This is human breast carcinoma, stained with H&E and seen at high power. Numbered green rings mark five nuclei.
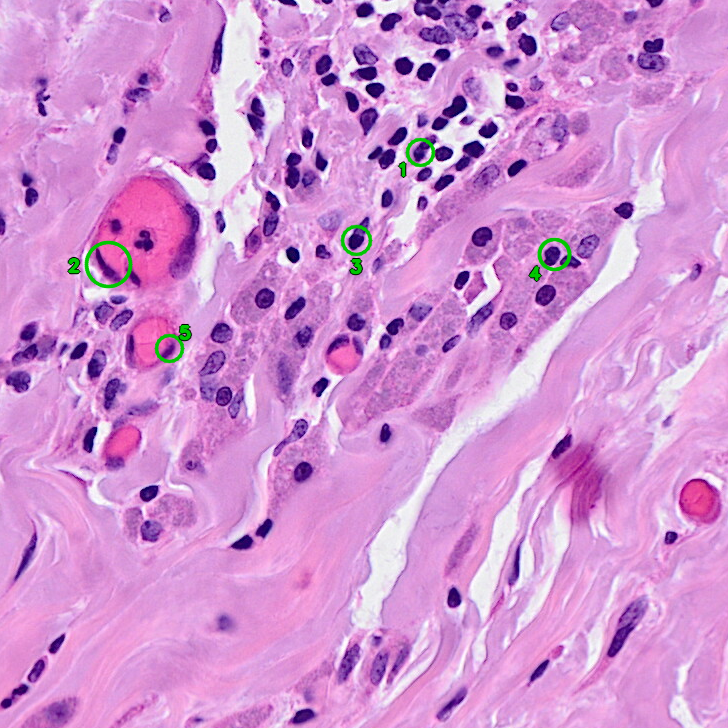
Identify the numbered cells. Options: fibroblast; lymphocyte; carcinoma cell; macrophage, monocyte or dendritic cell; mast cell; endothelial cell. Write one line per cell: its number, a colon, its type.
1: lymphocyte
2: endothelial cell
3: lymphocyte
4: lymphocyte
5: endothelial cell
